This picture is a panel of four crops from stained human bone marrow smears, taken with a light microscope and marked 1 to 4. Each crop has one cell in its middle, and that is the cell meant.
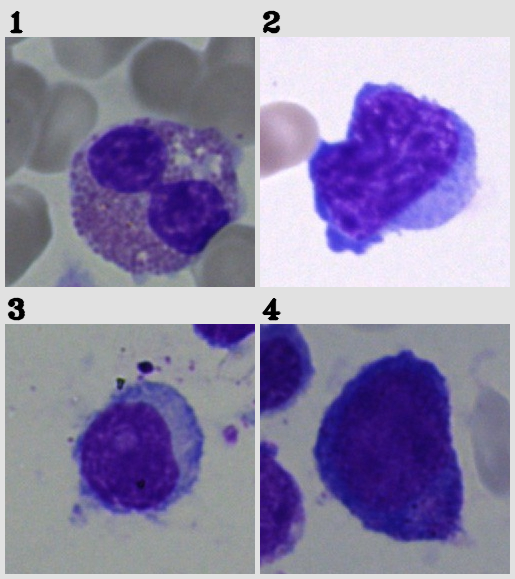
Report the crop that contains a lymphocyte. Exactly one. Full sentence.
The one crop in the set with a lymphocyte is crop 3.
